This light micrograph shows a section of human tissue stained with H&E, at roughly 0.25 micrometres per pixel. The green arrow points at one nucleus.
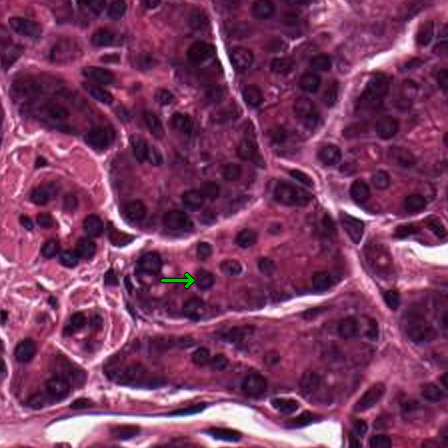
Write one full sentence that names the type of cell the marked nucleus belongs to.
The marked nucleus is one that belongs to a pancreatic acinar cell.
